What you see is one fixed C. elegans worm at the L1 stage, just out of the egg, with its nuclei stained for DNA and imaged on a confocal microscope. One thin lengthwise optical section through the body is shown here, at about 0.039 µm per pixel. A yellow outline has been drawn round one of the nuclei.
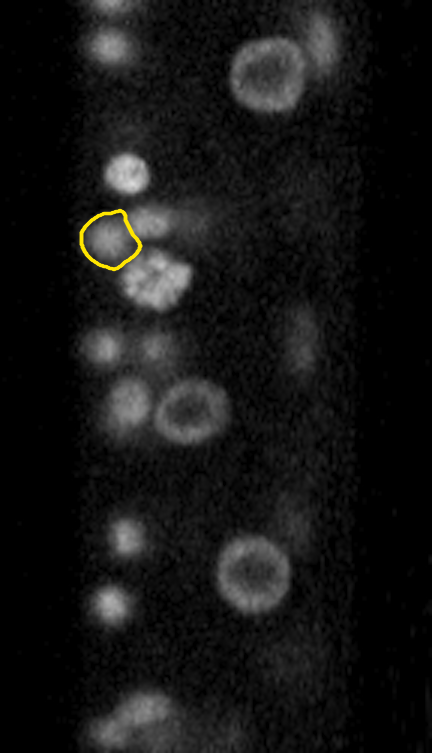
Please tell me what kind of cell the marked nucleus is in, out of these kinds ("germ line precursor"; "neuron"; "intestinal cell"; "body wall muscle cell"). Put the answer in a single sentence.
The cell with the marked nucleus is a neuron.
